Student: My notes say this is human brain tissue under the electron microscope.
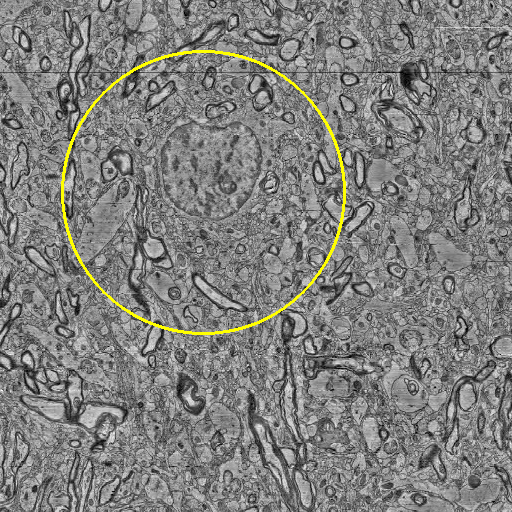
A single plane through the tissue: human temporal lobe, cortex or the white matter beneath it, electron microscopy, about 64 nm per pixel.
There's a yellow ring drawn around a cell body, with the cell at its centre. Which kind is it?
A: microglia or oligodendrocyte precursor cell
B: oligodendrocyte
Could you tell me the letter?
B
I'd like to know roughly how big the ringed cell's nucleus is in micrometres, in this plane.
The nucleus measures about 7 micrometers across in this plane.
